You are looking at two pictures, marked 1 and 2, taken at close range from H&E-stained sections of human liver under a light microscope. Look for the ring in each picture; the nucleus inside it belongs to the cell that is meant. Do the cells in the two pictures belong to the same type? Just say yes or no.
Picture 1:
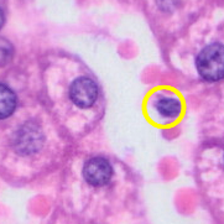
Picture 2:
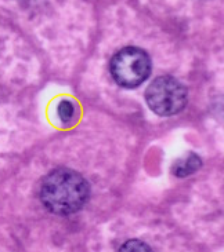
yes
